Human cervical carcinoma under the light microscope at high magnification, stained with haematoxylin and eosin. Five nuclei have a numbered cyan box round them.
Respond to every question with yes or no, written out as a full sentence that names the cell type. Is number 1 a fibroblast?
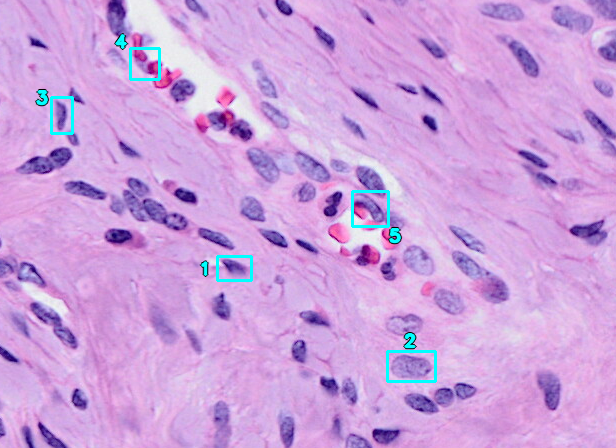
Yes, the cell to which number 1 refers is a fibroblast.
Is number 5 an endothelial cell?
Yes, kindly take note: the cell numbered 5 is an endothelial cell.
